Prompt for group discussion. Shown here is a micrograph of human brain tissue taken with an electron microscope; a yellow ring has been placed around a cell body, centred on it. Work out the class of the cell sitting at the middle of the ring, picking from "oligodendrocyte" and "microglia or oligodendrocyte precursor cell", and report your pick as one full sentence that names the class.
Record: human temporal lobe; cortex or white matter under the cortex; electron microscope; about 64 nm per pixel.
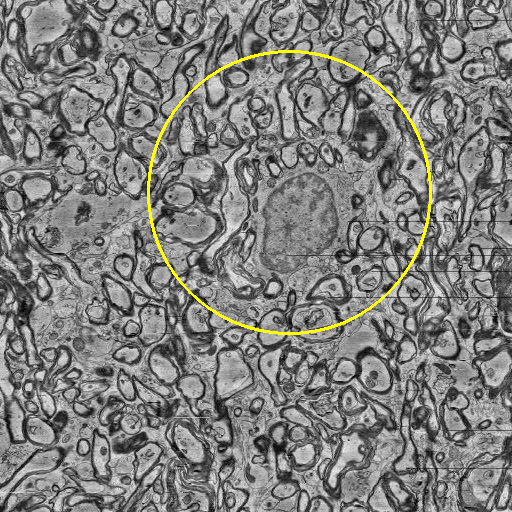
The cell sitting at the middle of the yellow ring is an oligodendrocyte.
